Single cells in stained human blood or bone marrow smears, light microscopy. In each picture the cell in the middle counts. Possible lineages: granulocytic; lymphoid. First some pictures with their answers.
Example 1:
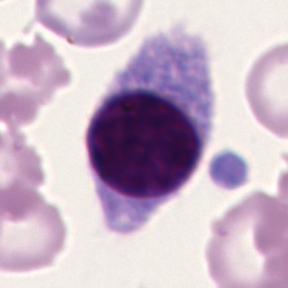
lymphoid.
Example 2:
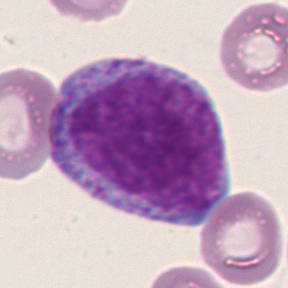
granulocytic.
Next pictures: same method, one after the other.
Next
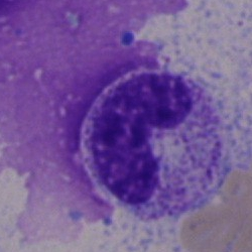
granulocytic.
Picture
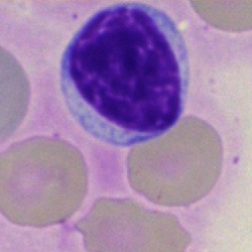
lymphoid.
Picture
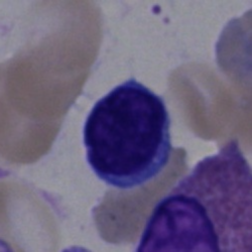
lymphoid.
